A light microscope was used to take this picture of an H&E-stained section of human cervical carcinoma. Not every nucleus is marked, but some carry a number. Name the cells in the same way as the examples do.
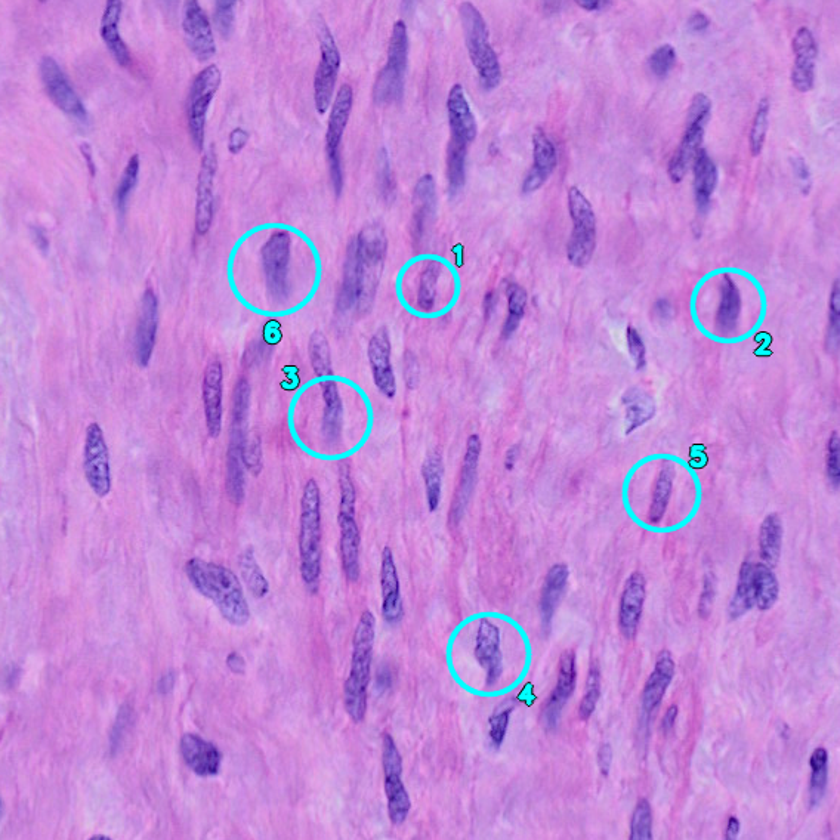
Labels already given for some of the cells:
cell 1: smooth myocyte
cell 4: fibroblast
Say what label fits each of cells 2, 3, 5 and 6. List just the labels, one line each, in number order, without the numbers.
fibroblast
smooth myocyte
smooth myocyte
fibroblast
